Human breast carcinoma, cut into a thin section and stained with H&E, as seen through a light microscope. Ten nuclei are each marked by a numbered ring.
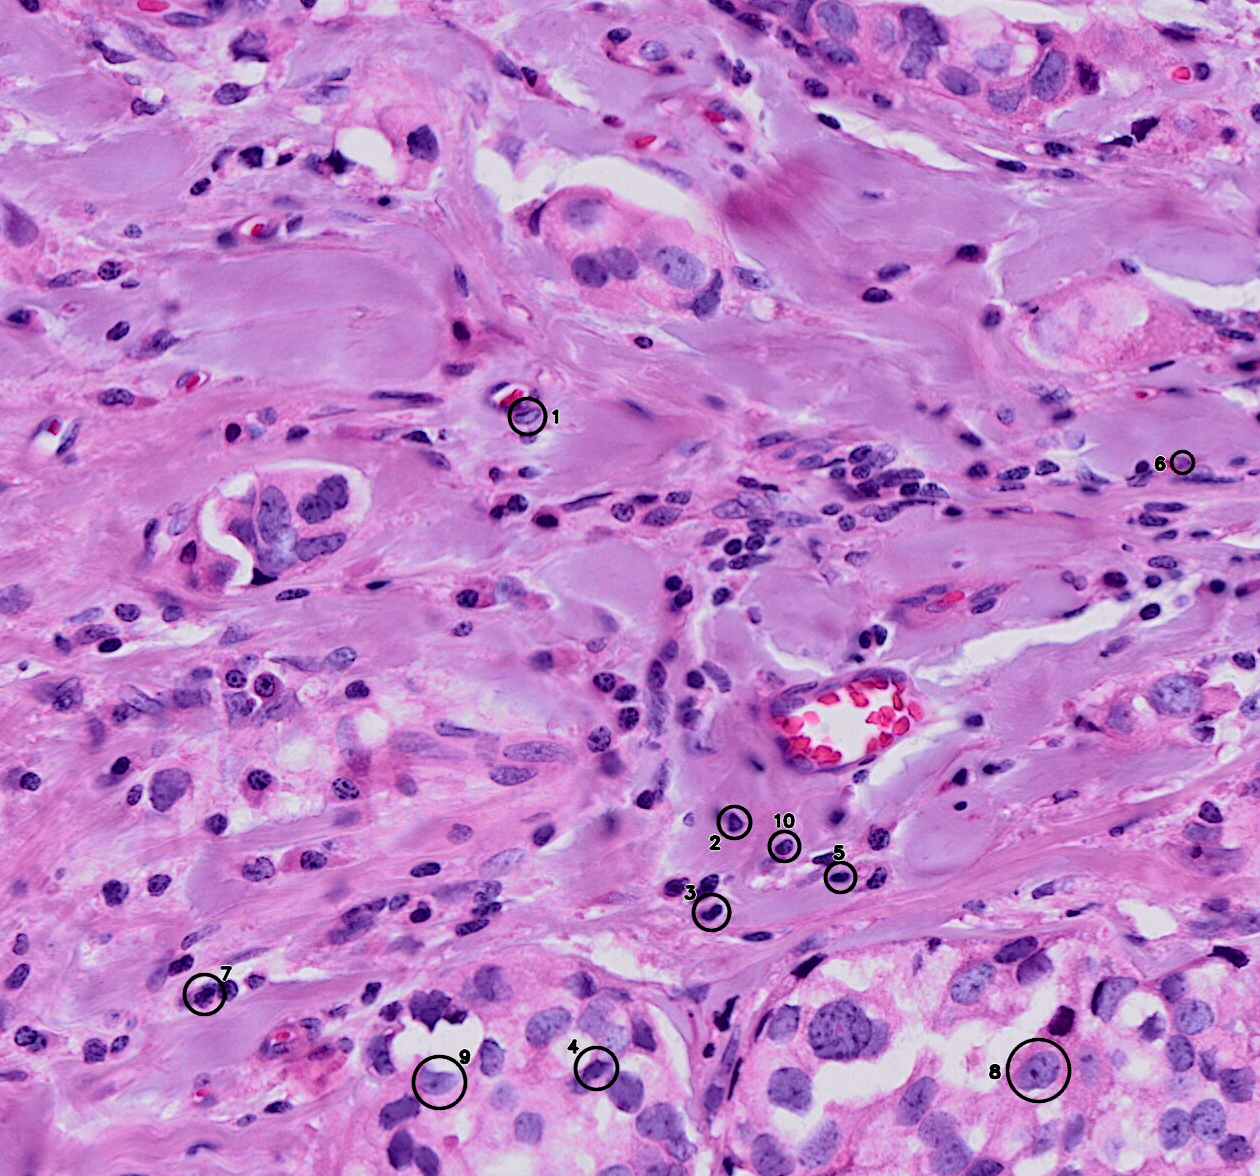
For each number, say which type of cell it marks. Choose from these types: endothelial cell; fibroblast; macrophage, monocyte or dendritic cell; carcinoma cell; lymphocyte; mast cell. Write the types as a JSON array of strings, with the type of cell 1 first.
["endothelial cell", "lymphocyte", "lymphocyte", "carcinoma cell", "lymphocyte", "endothelial cell", "lymphocyte", "carcinoma cell", "carcinoma cell", "lymphocyte"]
